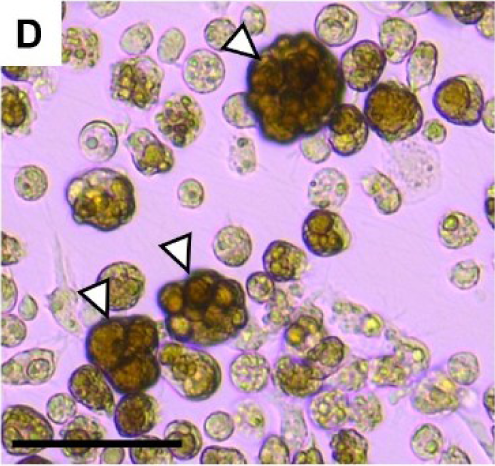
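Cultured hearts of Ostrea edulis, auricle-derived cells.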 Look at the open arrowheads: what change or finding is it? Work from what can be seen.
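Multiple internal bodies. The marked cells are larger and darker than the surrounding pale cells. Each marked cell contains several rounded internal compartments.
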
